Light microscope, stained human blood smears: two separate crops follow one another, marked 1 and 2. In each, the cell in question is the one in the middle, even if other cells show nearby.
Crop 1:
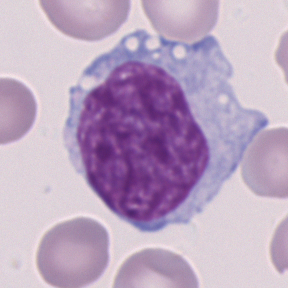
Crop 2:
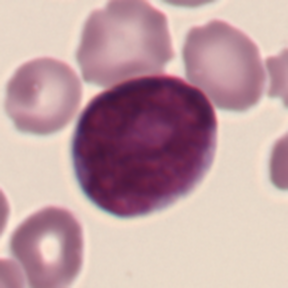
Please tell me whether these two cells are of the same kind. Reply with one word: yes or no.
yes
